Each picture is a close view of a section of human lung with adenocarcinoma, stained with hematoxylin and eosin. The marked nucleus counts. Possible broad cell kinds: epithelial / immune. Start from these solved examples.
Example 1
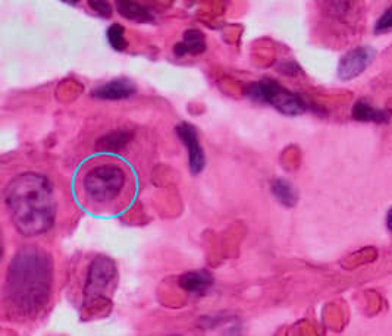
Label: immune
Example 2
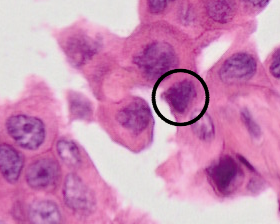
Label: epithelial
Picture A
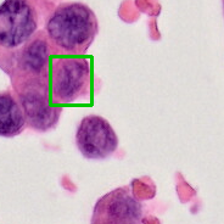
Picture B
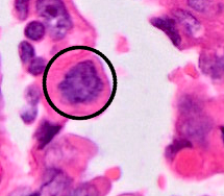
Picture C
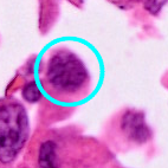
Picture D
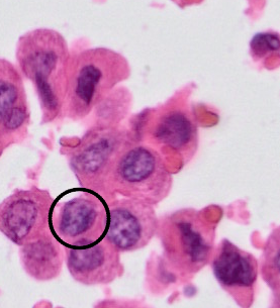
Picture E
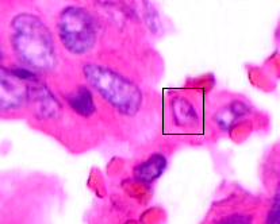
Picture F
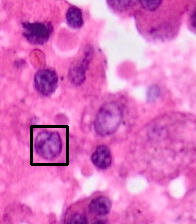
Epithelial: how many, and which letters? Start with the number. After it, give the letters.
4: A, B, C, D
